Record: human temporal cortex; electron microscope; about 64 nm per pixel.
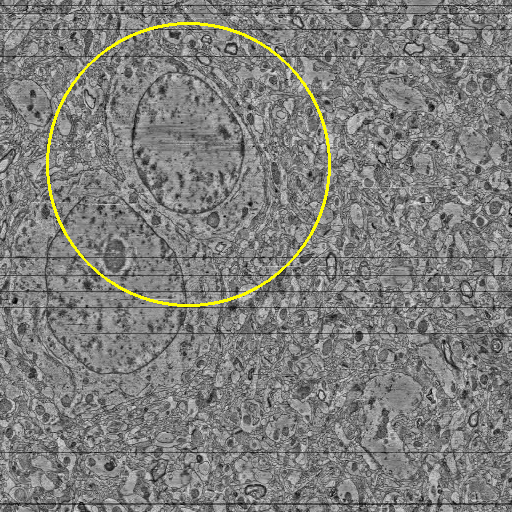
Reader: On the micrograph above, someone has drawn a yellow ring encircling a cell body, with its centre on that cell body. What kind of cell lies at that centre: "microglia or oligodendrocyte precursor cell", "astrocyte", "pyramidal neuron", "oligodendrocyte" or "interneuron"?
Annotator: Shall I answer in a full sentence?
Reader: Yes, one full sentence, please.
Here a pyramidal neuron sits at the centre of the yellow ring drawn on the micrograph.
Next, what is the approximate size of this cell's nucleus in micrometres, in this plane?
In this plane the nucleus spans approximately 9 by 7 micrometers.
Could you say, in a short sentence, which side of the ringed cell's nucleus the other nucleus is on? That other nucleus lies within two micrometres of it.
The other nucleus lies to the lower left of it.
